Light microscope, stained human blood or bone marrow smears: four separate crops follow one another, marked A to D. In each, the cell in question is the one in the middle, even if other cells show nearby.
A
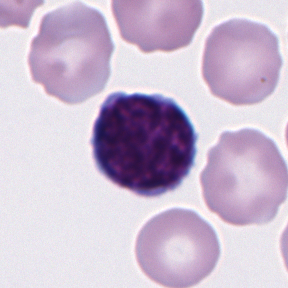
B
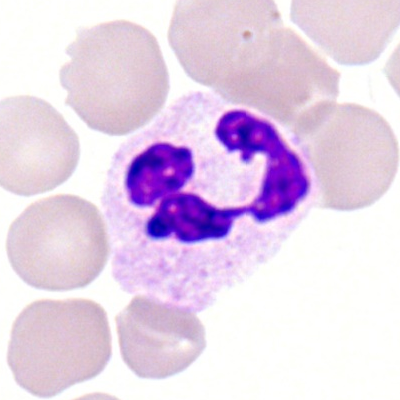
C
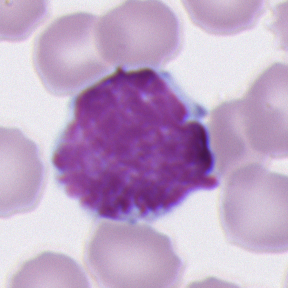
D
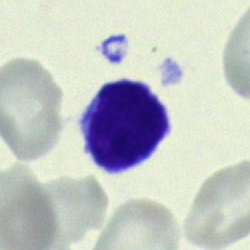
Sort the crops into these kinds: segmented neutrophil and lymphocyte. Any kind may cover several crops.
A: lymphocyte
B: segmented neutrophil
C: lymphocyte
D: lymphocyte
